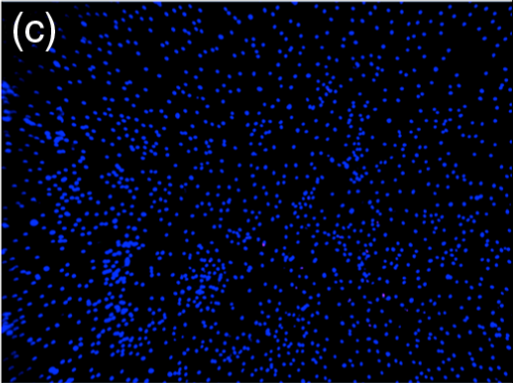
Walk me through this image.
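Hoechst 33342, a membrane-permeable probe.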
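No cytoplasm or cell borders are visible, only the nuclei themselves. In places, especially toward the left, the nuclei lie more densely packed and some appear slightly larger or elongated.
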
